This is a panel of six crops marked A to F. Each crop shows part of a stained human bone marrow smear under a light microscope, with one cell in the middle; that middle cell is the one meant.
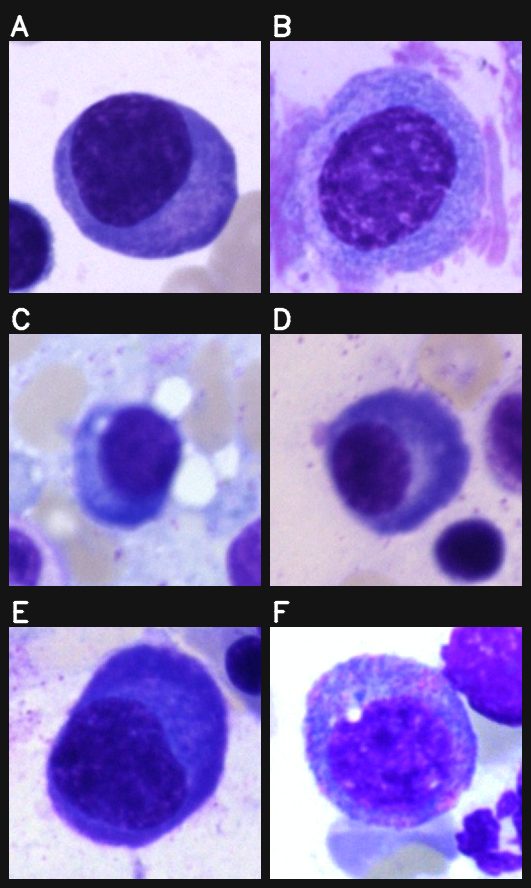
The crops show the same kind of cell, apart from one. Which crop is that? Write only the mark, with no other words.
F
